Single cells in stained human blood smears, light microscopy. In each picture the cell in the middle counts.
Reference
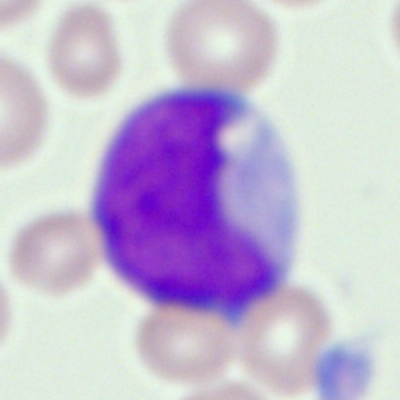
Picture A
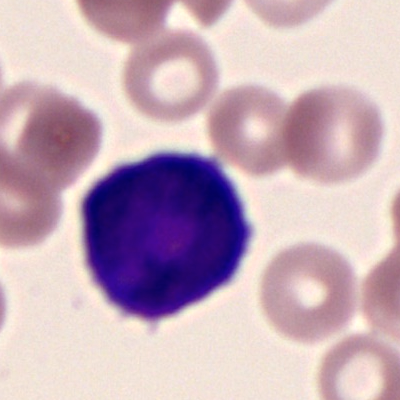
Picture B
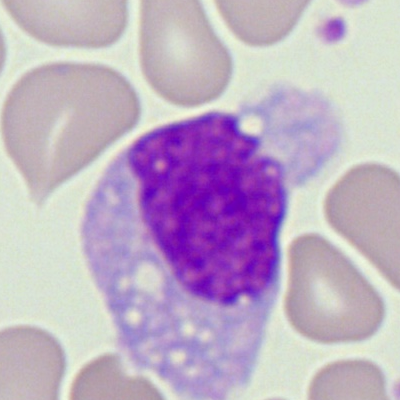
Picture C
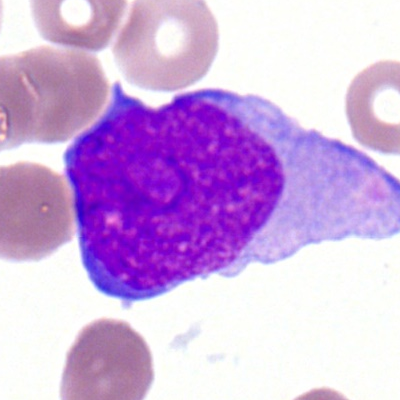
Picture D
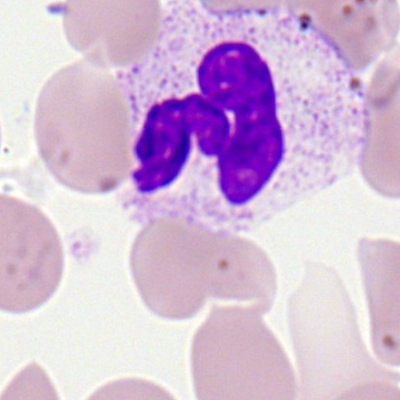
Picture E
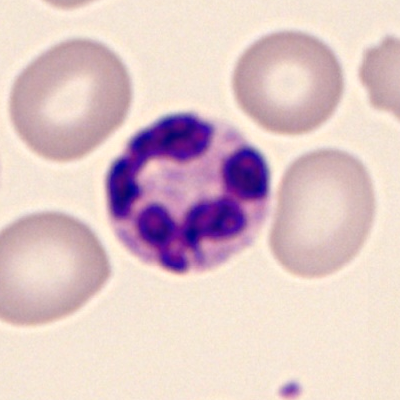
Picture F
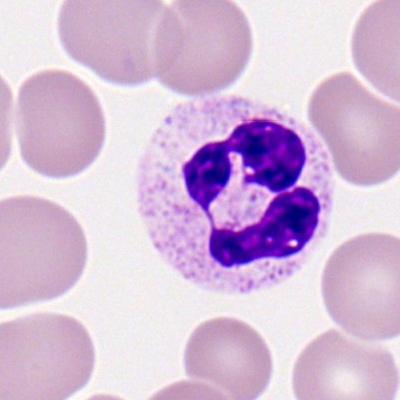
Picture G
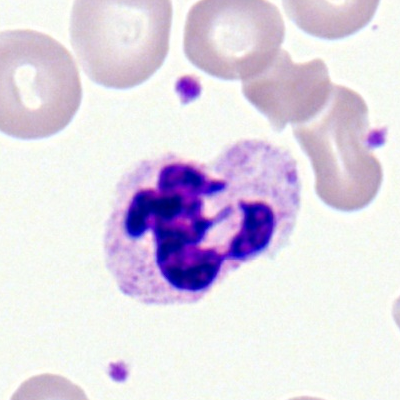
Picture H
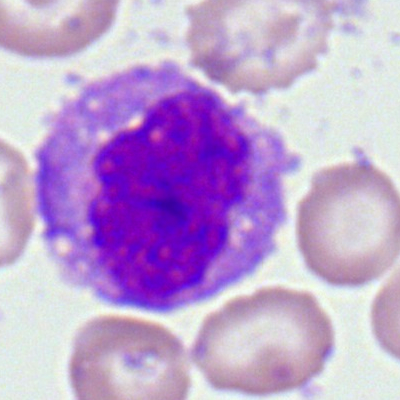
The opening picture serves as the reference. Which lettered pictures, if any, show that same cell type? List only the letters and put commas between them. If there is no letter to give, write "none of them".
A, C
